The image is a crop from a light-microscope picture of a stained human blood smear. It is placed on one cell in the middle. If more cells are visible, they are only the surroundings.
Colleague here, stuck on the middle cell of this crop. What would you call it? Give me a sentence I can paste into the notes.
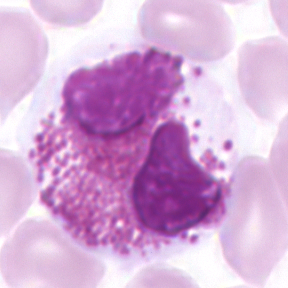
This particular crop is centered on an eosinophil.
